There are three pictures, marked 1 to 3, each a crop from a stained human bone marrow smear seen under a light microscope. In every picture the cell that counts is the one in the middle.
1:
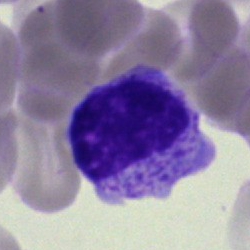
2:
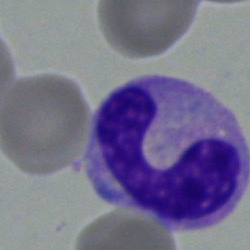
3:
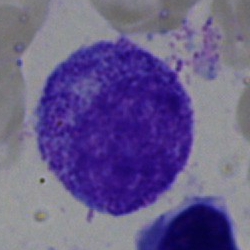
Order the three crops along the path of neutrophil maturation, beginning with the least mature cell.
3, 1, 2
